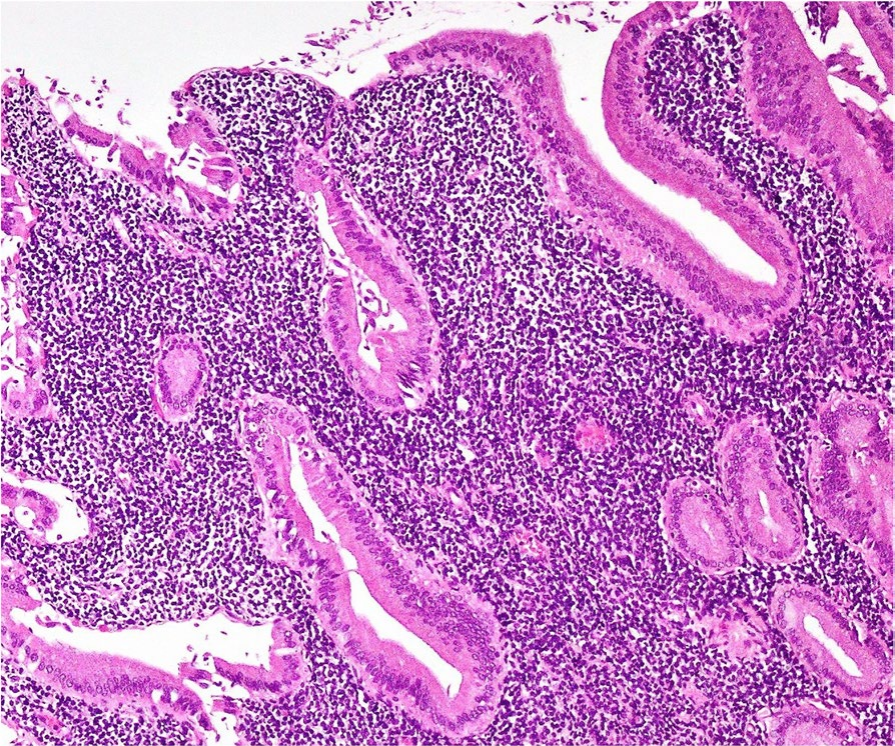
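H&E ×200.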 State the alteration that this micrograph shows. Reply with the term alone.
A: Atypical lymphoid cell infiltrate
